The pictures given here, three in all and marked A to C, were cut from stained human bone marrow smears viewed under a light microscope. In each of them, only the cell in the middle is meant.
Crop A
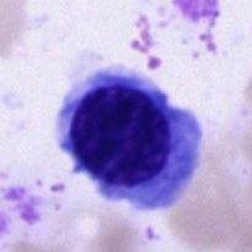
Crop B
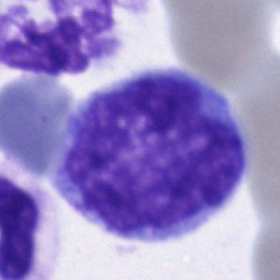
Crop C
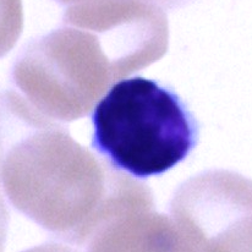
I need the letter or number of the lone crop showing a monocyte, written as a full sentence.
Among the crops provided, a monocyte occupies the center of crop B.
